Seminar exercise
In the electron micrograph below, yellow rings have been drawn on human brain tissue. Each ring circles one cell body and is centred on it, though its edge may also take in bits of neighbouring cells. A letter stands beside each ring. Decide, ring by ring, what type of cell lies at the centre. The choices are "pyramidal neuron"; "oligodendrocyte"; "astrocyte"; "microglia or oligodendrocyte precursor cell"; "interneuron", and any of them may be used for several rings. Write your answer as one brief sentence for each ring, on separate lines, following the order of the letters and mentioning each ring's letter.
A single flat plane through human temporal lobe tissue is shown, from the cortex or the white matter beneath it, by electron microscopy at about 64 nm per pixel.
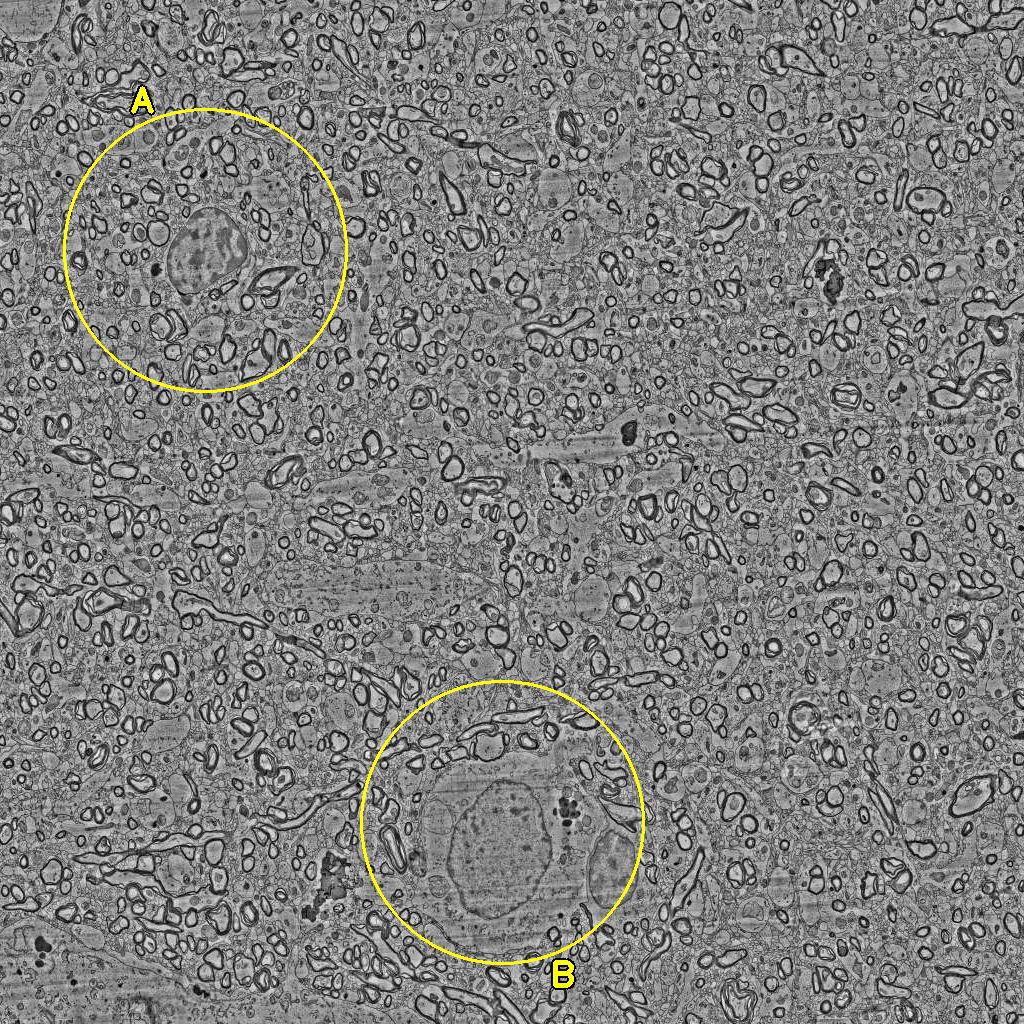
The cell in the middle of ring A is a microglial cell or oligodendrocyte precursor cell.
The cell in the middle of ring B is an astrocyte.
